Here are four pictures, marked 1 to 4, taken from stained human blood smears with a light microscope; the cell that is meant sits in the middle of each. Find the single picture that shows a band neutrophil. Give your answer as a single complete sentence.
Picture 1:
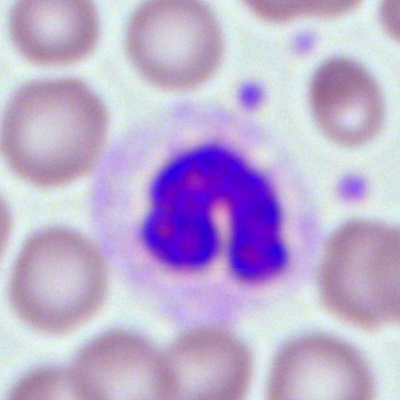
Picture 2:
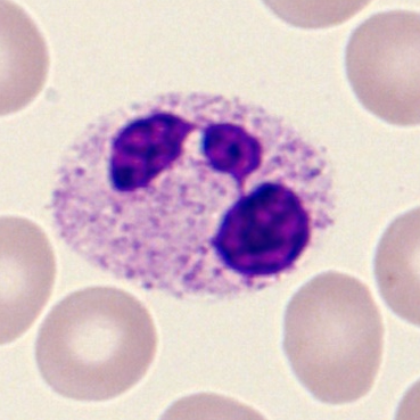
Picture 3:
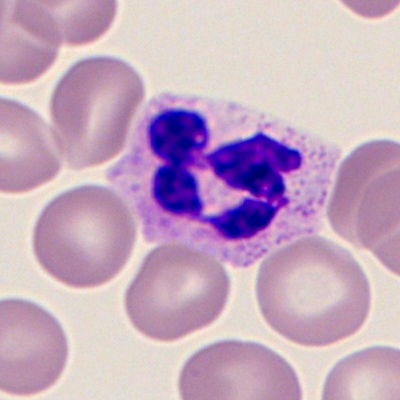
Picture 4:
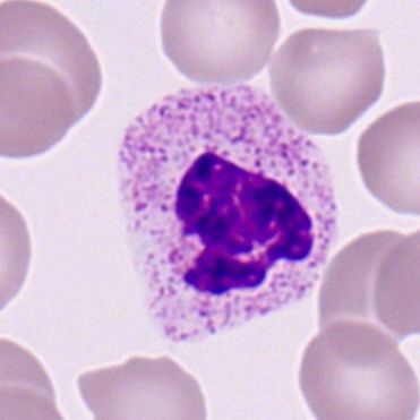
The band neutrophil is the one in picture 1.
